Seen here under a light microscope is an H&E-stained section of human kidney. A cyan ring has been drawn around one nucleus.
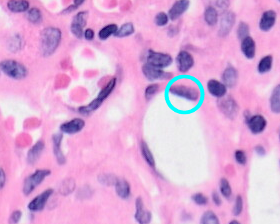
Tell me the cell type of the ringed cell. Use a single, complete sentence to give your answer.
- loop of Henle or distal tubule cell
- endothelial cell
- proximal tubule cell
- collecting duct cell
Microscopically, the ringed cell is categorized as an endothelial cell.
